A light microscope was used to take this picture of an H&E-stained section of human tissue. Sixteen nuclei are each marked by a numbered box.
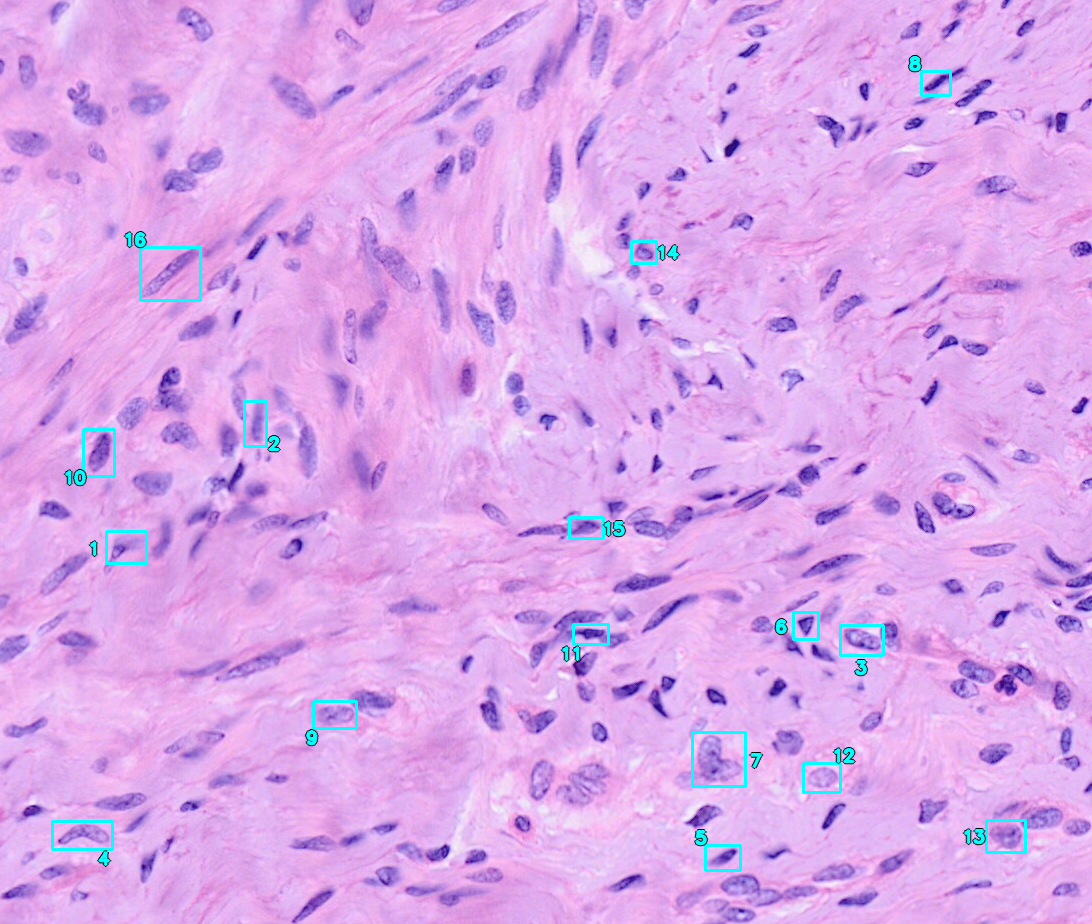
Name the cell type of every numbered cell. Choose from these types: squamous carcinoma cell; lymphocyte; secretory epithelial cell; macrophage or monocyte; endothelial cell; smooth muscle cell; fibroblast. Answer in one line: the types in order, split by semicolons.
fibroblast; fibroblast; endothelial cell; fibroblast; fibroblast; fibroblast; endothelial cell; fibroblast; endothelial cell; fibroblast; fibroblast; endothelial cell; endothelial cell; smooth muscle cell; fibroblast; smooth muscle cell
